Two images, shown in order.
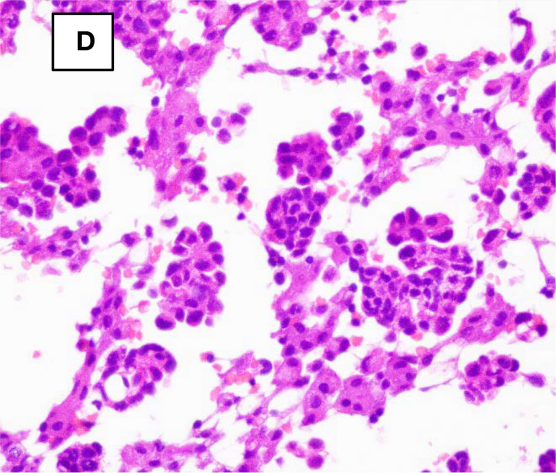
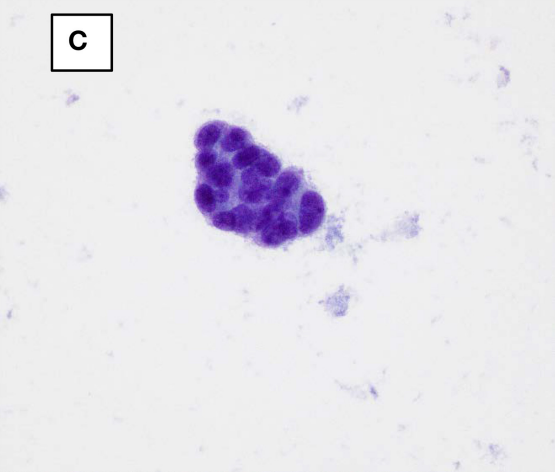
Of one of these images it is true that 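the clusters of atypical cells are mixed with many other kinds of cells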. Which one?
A: The first image.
